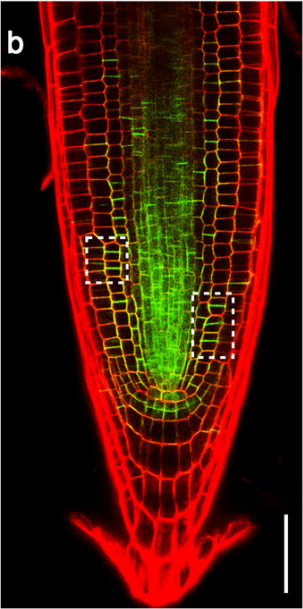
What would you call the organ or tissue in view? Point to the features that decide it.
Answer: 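A tapering organ ending in a rounded cap at the bottom. Parallel files of cells run lengthwise and converge at the tip. Loose cells peel away from the outer surface of the cap at the very tip. The answer: root tip.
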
